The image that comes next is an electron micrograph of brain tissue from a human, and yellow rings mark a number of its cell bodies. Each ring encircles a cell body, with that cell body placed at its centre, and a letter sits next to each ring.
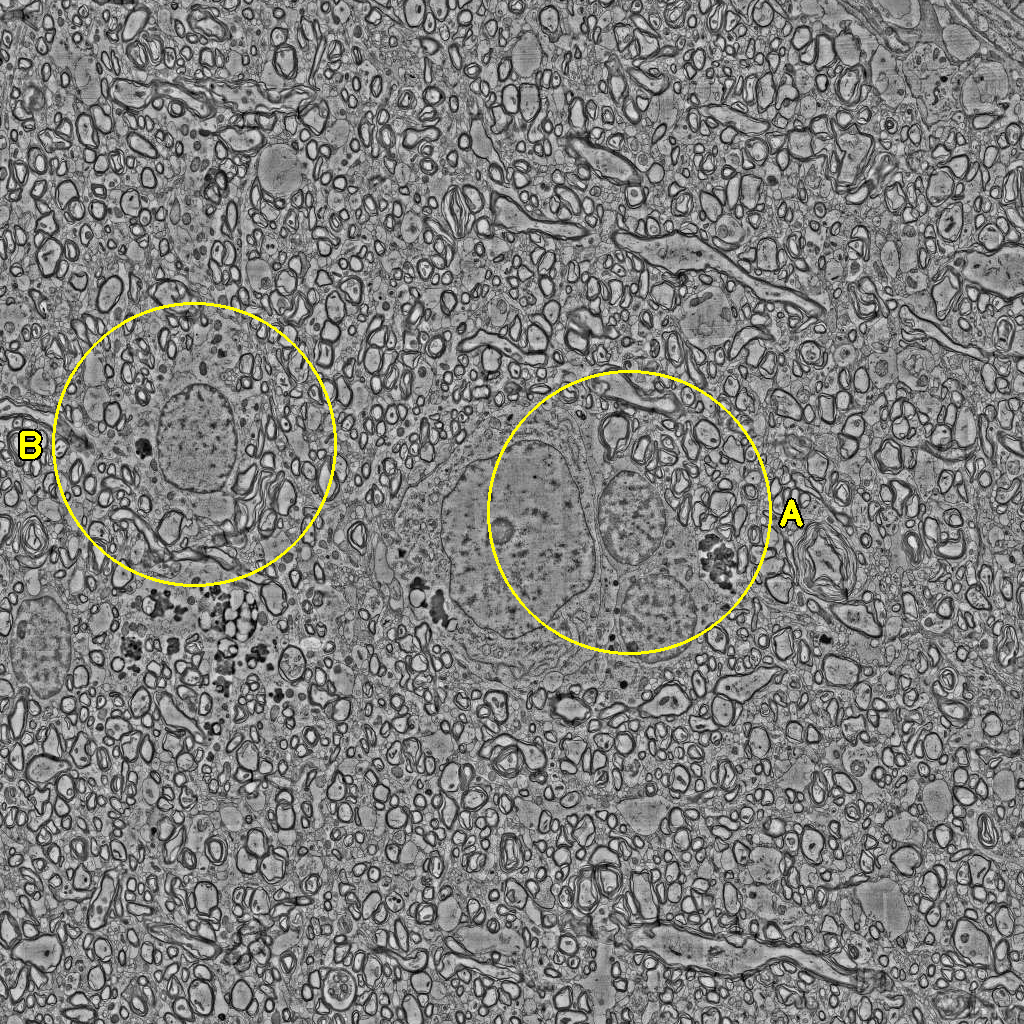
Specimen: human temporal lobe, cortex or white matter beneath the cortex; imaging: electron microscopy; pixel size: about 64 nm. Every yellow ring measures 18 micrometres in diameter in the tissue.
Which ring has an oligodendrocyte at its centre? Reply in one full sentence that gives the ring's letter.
In the image, ring A has the cell the question asks for at its centre.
